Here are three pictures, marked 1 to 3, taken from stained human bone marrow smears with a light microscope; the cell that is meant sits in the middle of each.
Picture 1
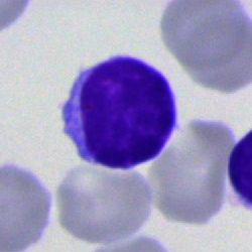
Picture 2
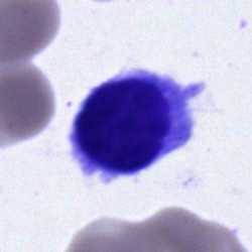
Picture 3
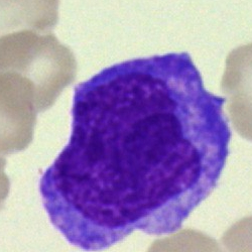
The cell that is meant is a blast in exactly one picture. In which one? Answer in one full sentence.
Picture 3 is the one that shows the blast.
